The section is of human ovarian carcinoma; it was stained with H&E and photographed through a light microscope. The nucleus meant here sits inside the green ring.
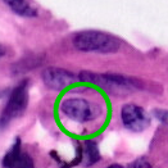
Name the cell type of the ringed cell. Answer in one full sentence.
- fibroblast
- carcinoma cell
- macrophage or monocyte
It is as a macrophage or monocyte that the ringed cell is classified.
